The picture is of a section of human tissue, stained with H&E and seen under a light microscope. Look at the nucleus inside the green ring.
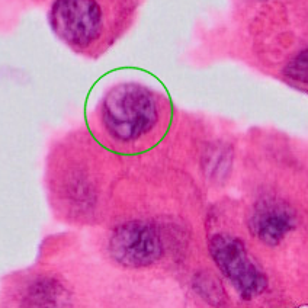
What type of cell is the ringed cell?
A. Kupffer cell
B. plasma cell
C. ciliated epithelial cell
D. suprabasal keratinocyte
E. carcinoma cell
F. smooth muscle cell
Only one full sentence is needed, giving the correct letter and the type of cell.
In keeping with option E, the ringed cell is a carcinoma cell.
